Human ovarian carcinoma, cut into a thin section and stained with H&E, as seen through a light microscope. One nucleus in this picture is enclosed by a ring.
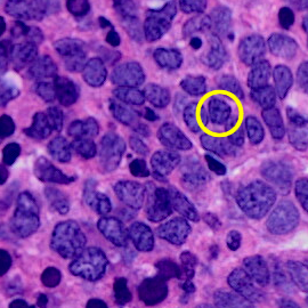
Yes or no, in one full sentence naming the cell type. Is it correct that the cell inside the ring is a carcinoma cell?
Yes, in short, the cell inside the ring is a carcinoma cell here.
